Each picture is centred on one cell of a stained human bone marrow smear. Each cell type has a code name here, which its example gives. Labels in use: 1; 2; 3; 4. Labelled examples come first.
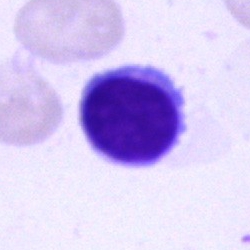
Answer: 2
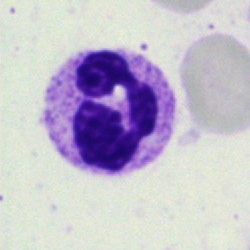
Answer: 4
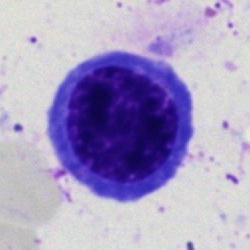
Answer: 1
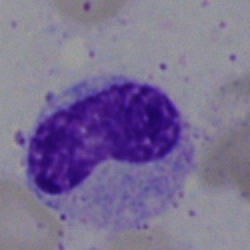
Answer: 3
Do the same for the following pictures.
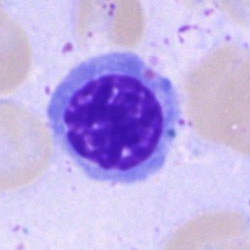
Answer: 1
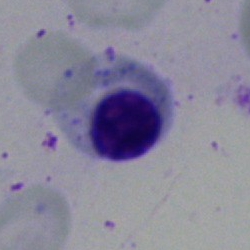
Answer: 1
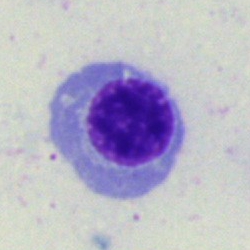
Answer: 1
